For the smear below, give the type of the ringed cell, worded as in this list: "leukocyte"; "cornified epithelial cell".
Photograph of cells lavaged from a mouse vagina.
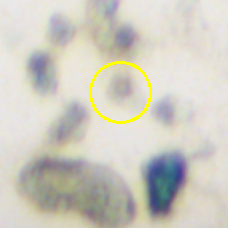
leukocyte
